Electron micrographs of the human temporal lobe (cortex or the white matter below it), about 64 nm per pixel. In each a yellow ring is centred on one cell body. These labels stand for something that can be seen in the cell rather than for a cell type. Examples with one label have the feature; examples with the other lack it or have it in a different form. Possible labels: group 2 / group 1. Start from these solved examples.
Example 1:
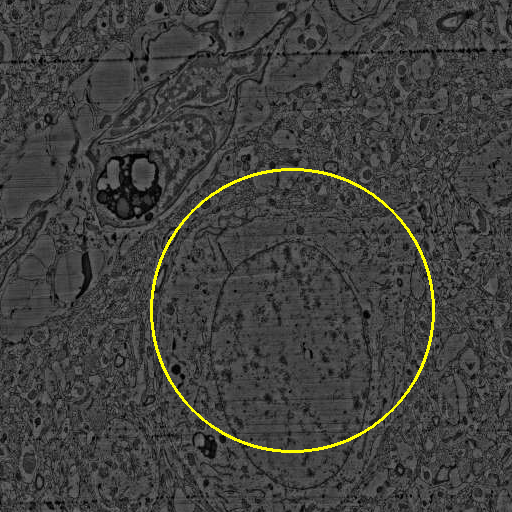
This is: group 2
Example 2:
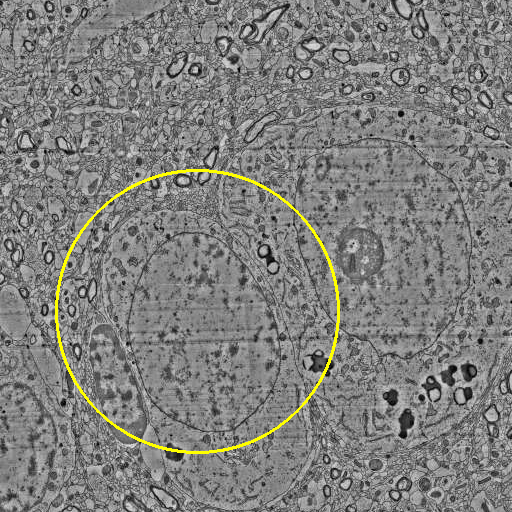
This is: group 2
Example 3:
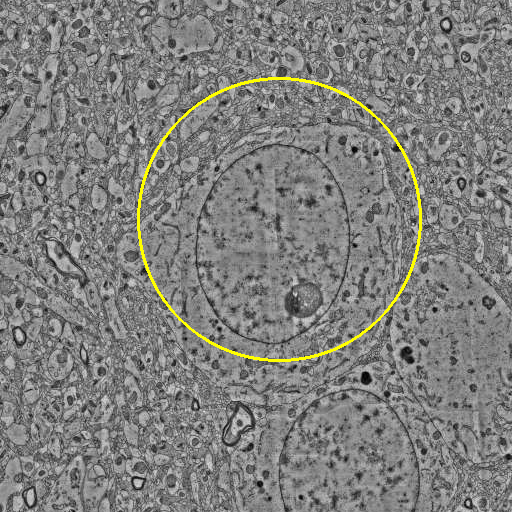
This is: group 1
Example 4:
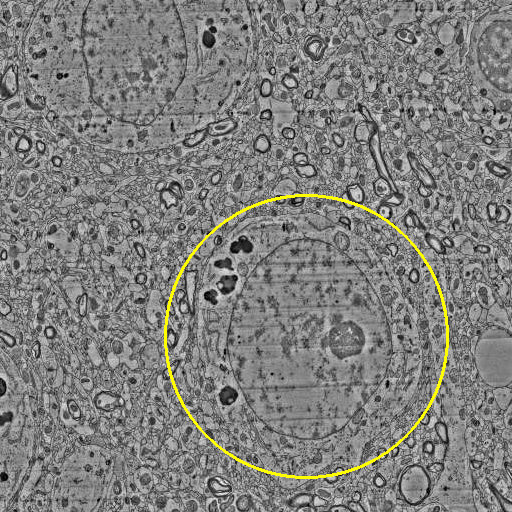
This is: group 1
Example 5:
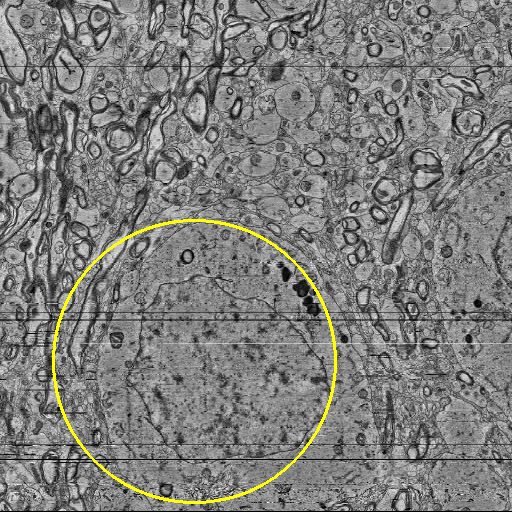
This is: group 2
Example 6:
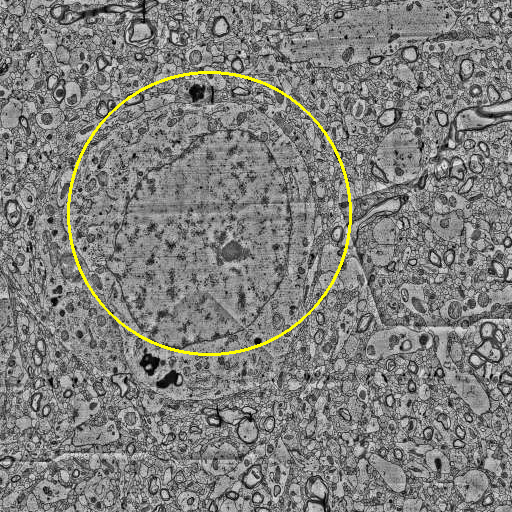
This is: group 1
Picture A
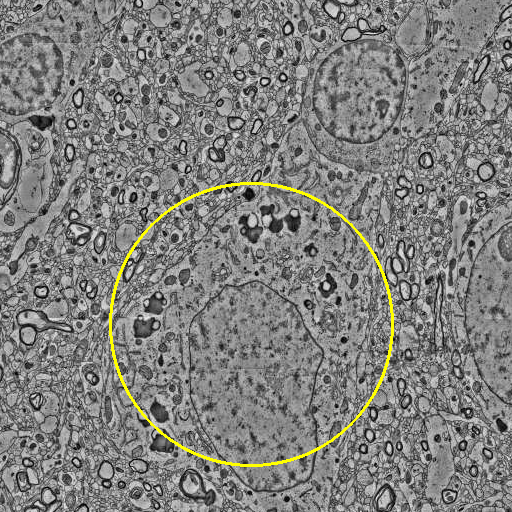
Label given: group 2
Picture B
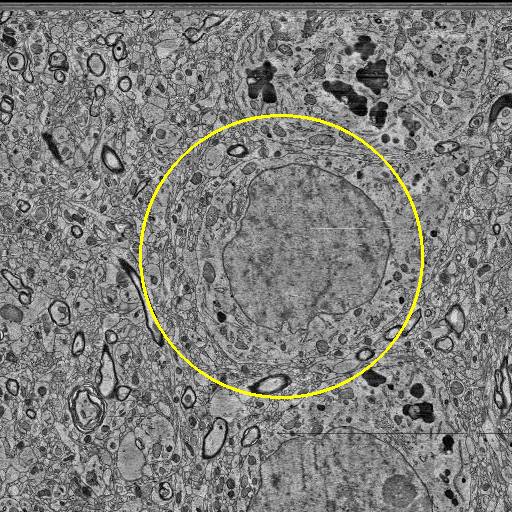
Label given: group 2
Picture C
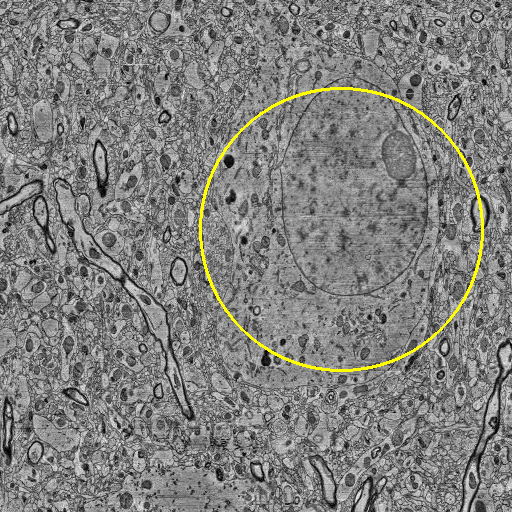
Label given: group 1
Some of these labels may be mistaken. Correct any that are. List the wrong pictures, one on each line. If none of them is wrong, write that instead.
All correct.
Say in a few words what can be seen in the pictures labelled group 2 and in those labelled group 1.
Seen in group 2: no nucleolus seen; seen in group 1: nucleolus seen.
